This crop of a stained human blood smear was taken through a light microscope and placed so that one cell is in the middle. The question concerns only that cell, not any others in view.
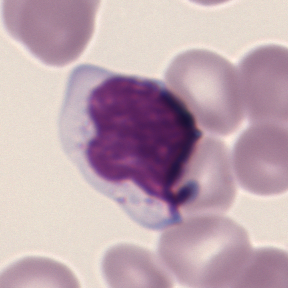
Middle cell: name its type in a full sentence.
The cell that lies at the centre of the crop is a large granular lymphocyte.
